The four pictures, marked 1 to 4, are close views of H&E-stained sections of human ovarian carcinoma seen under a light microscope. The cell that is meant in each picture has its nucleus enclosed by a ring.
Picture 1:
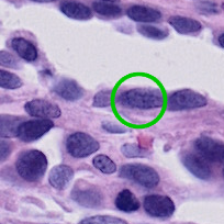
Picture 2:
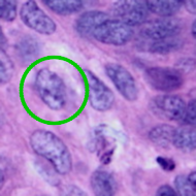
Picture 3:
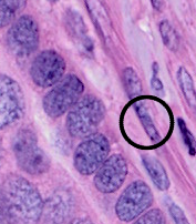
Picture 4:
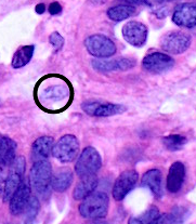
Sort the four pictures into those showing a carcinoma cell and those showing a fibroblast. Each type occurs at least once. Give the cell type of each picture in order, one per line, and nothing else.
carcinoma cell
fibroblast
fibroblast
fibroblast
